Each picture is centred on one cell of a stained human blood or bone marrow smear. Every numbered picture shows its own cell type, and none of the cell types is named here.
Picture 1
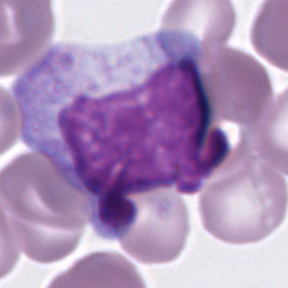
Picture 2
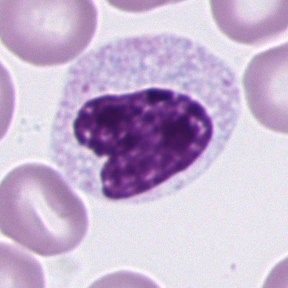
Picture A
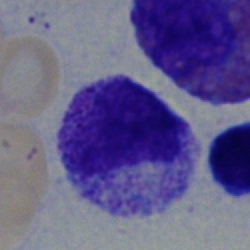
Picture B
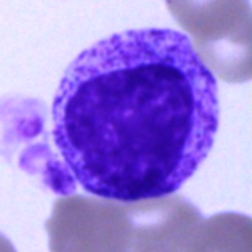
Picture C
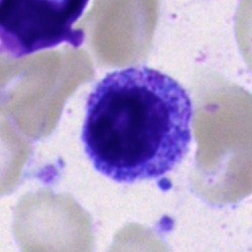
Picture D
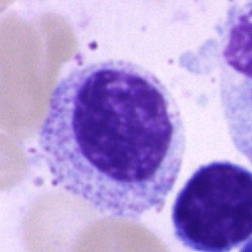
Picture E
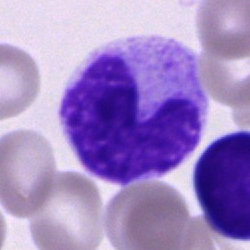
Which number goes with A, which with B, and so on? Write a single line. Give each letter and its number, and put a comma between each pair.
A 1, B 1, C 1, D 1, E 2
